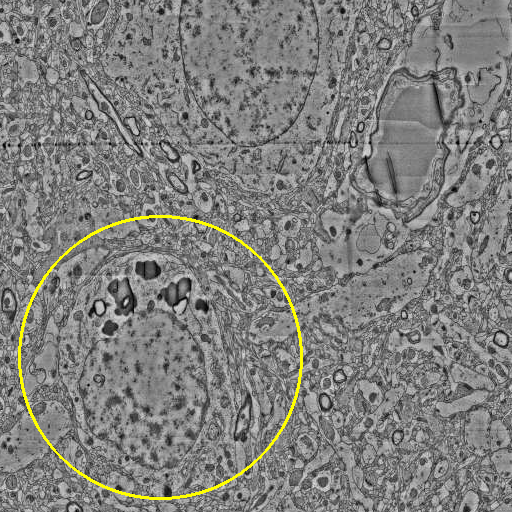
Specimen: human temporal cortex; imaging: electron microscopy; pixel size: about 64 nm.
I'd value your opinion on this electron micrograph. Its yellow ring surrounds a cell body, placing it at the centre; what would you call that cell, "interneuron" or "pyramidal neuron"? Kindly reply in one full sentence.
It is an interneuron that sits centred within the yellow ring in this micrograph.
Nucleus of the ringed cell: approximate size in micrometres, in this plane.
In this plane the nucleus measures roughly 10 by 8 micrometres.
